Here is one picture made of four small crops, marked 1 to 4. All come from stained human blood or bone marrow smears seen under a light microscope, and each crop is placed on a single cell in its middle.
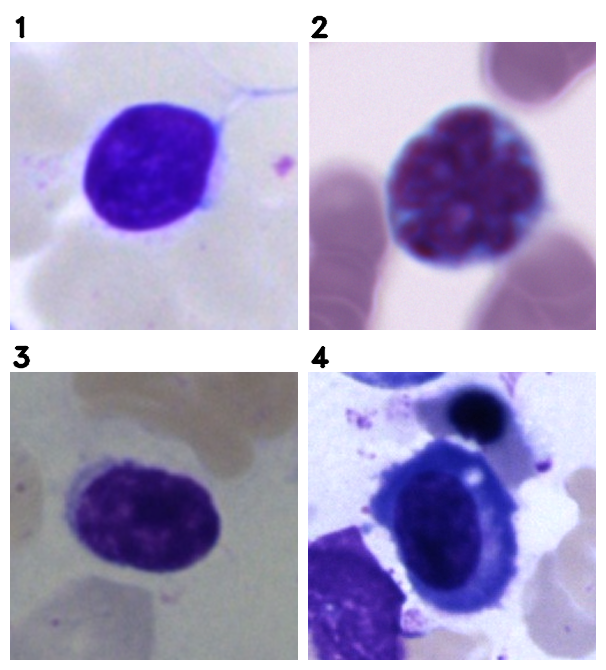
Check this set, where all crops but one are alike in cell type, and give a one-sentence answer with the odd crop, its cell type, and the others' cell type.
The one crop not showing lymphocytes is crop 4, which shows a plasma cell.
